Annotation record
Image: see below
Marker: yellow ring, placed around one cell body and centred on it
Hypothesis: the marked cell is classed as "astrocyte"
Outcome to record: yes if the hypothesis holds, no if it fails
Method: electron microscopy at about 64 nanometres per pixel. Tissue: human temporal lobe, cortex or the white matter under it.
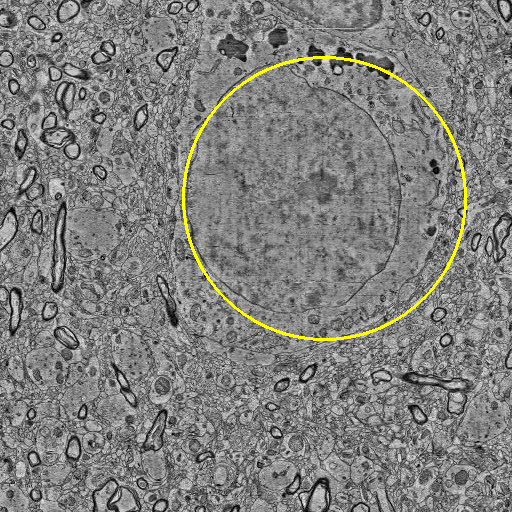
no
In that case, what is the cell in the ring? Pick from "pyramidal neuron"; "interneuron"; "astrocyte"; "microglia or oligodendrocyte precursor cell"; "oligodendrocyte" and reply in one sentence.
The cell at the middle of the ring is an interneuron.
